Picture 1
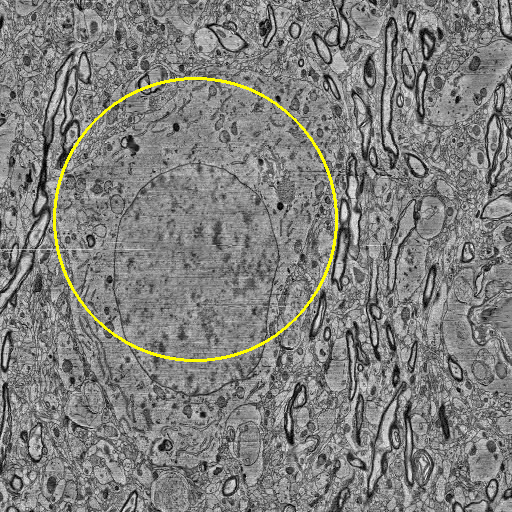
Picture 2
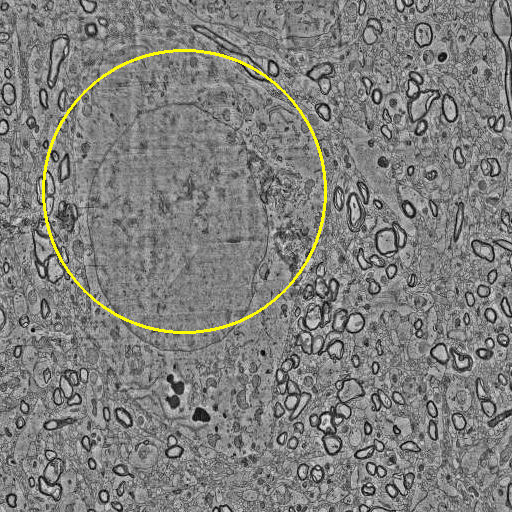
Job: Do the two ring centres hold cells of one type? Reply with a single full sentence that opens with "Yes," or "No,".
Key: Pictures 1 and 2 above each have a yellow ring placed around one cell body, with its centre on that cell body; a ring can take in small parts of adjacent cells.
Yes, the cells at the two ring centres are of one single type.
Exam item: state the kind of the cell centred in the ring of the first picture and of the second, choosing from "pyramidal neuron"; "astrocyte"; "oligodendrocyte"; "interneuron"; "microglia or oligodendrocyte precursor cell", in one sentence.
Each of the two cells is a pyramidal neuron.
